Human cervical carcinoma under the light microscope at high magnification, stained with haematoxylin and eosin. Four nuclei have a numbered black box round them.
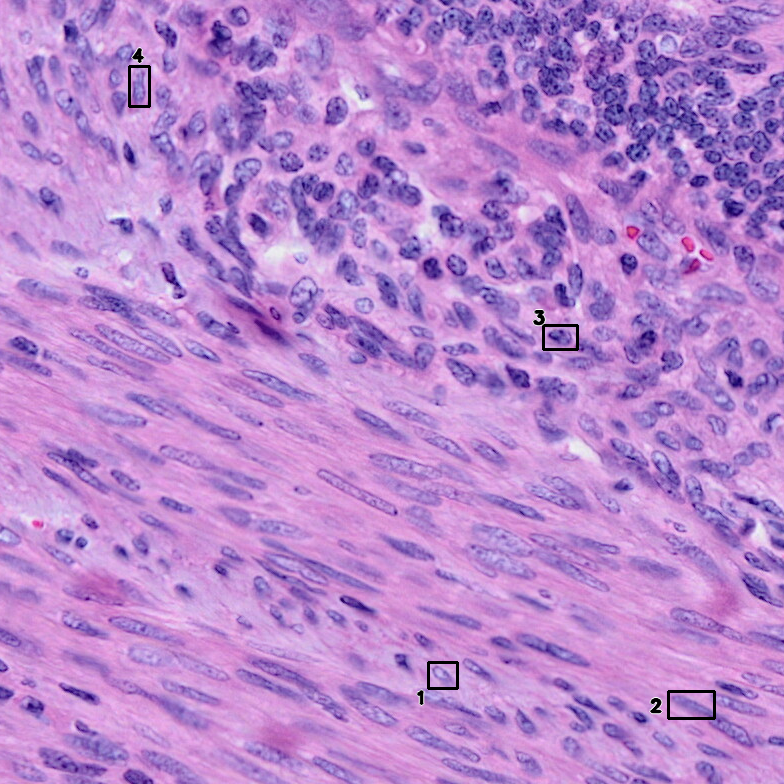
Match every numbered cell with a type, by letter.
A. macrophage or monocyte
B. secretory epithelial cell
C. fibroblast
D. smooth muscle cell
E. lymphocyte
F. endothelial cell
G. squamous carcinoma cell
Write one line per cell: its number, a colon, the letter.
1: D
2: D
3: E
4: D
